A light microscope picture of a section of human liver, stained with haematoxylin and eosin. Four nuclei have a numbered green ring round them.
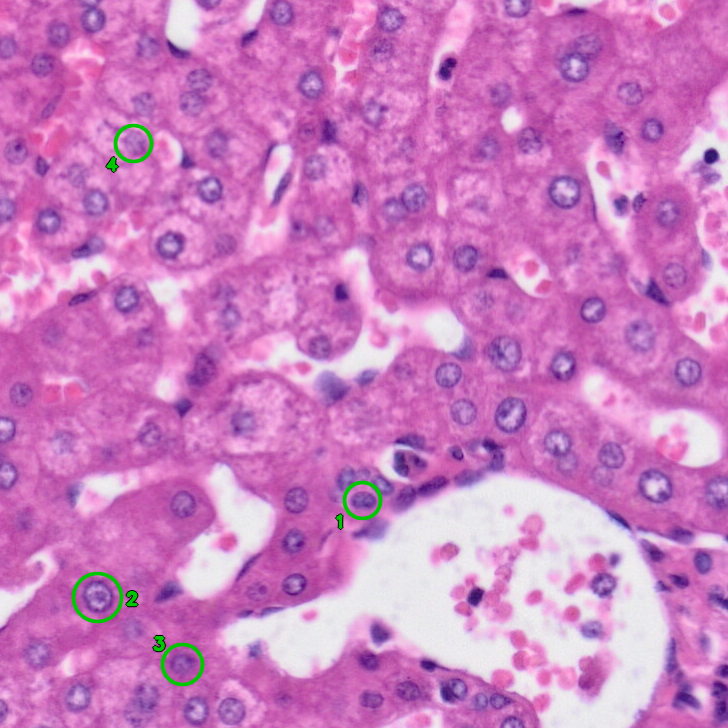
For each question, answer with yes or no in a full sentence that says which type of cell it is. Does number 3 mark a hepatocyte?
Yes, the cell shown as number 3 is a hepatocyte.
